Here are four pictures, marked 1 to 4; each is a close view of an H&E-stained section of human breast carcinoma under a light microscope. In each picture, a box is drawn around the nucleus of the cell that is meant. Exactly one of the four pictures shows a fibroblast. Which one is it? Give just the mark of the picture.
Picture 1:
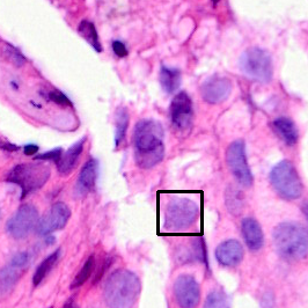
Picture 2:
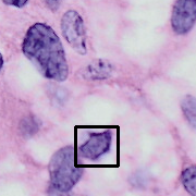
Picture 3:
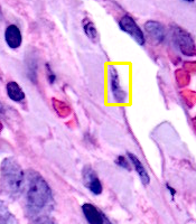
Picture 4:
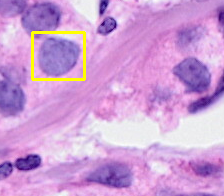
3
